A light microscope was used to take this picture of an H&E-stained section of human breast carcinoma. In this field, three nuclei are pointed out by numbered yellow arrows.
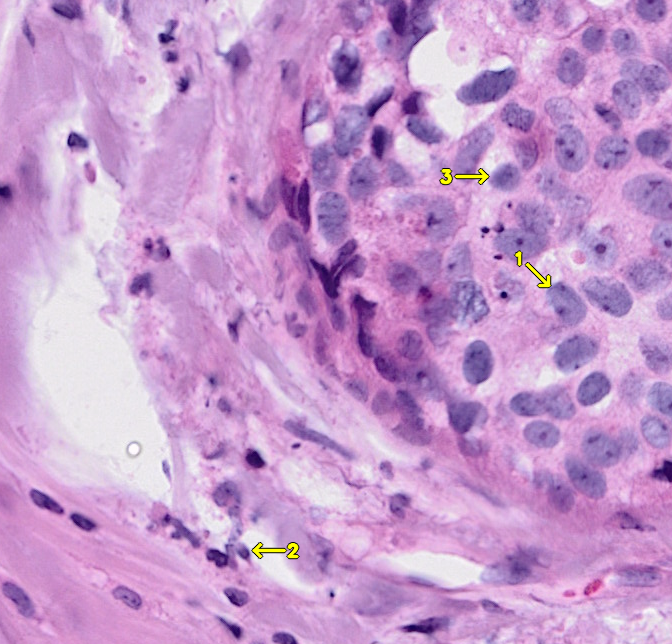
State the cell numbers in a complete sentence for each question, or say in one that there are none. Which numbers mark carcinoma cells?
Within this tissue, the cells numbered 1 and 3 are carcinoma cells.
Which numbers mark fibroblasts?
There are no fibroblasts among the cells marked with numbers.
